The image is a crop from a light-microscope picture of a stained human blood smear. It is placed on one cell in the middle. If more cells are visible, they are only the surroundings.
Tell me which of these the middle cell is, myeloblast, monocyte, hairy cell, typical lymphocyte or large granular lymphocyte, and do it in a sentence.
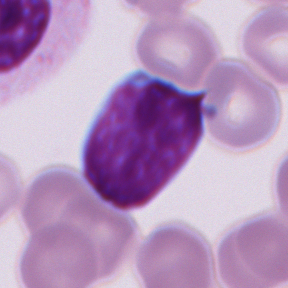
The cell of interest, in the center, is a typical lymphocyte.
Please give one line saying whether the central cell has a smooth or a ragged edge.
The contour of the cell is interrupted by ragged areas or by projections.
